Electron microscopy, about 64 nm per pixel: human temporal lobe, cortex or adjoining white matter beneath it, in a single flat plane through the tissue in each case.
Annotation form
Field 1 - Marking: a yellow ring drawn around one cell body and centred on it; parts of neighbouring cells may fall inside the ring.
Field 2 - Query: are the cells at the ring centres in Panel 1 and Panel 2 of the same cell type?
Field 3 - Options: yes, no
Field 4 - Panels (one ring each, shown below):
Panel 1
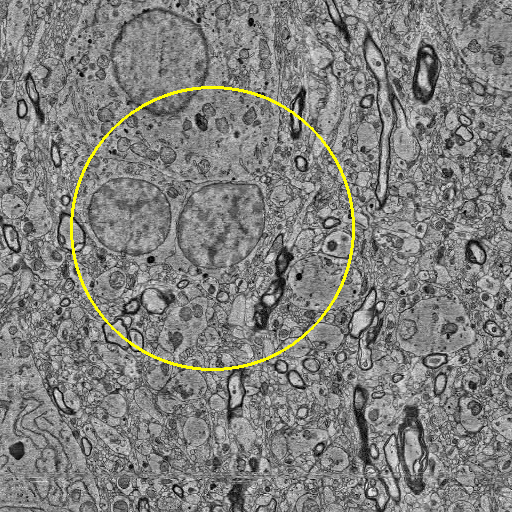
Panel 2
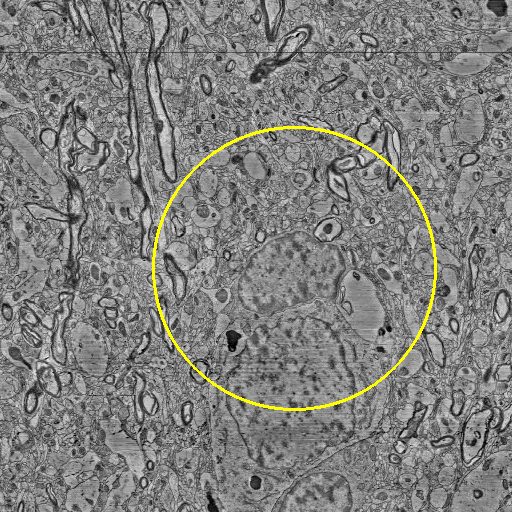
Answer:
yes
